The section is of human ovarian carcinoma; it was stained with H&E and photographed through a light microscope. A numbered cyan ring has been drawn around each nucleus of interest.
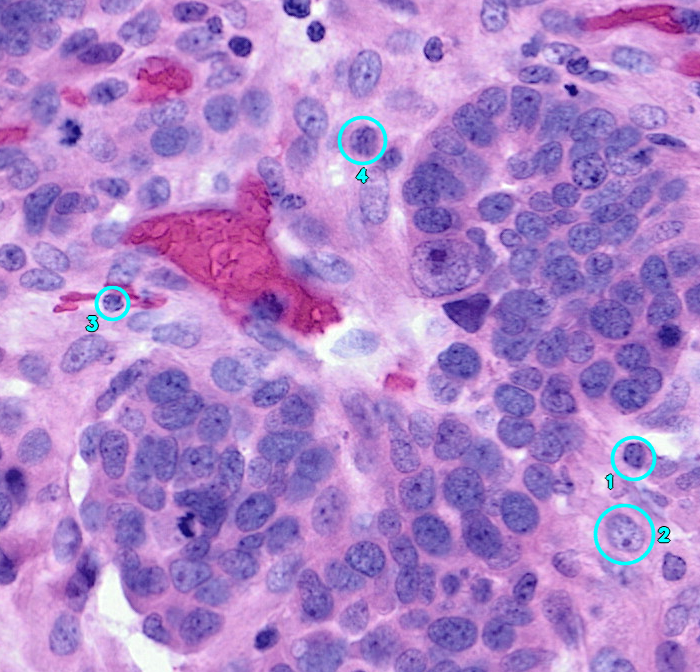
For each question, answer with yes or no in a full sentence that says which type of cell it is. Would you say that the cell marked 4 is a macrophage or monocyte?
Yes, the cell whose nucleus carries number 4 is a macrophage or monocyte.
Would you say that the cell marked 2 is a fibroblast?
Yes, the cell sitting at number 2 is a fibroblast.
